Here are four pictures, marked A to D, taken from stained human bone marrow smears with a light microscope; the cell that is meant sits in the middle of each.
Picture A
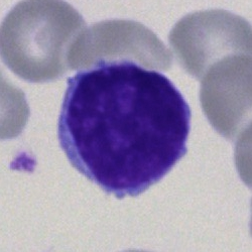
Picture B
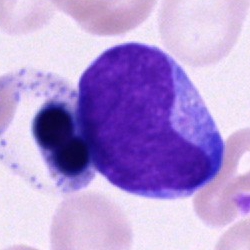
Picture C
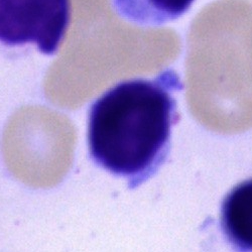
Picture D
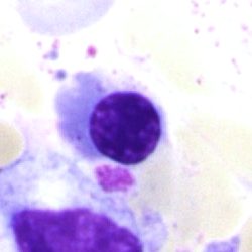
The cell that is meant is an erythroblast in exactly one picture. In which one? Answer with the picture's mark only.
D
